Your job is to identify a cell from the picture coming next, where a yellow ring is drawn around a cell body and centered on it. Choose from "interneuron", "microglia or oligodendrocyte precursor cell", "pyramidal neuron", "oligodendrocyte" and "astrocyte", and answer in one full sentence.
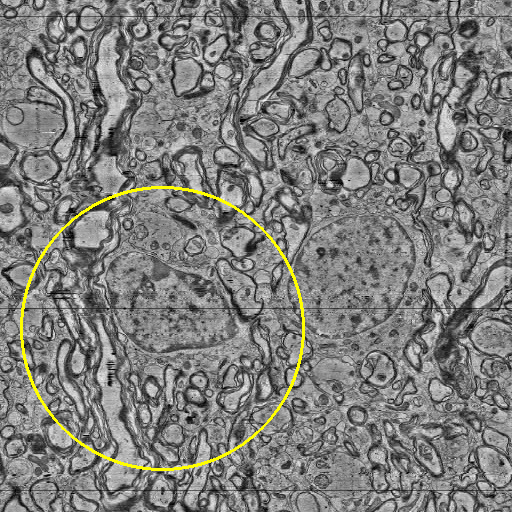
Centered in the yellow ring of the picture is the body of a microglial cell or oligodendrocyte precursor cell.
